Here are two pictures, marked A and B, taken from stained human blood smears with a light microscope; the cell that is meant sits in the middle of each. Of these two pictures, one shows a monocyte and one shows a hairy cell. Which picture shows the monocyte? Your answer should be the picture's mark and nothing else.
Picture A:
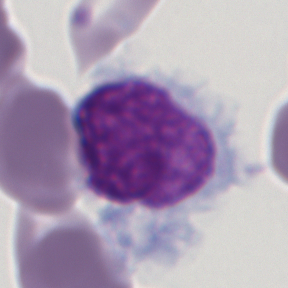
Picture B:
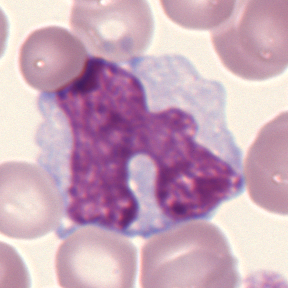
B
